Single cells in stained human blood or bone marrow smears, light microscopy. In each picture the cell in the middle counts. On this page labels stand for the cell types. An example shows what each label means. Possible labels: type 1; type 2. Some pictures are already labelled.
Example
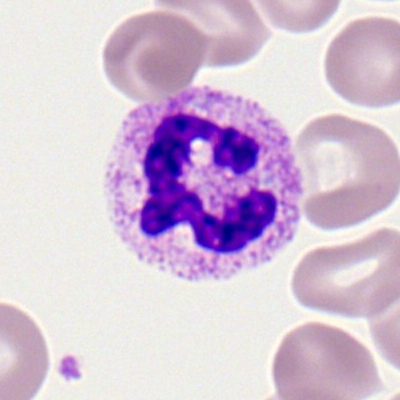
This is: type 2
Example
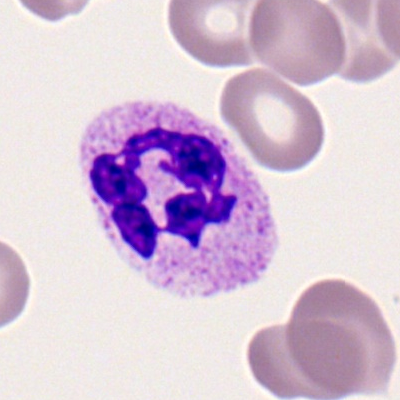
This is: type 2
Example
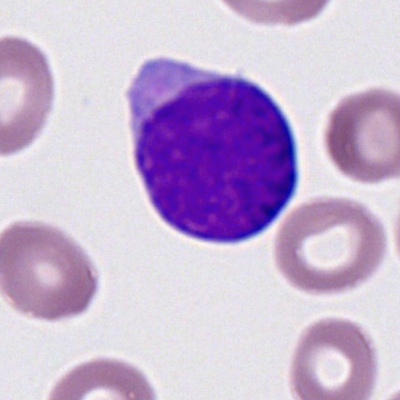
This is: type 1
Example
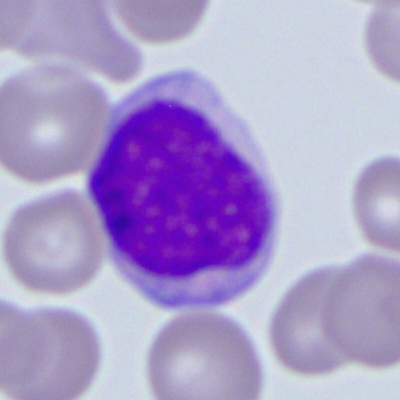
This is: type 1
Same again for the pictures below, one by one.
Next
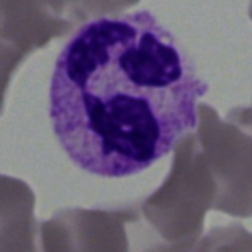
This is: type 2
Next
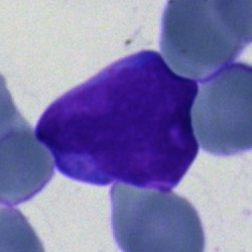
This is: type 1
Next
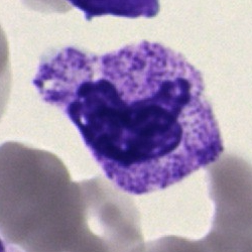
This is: type 2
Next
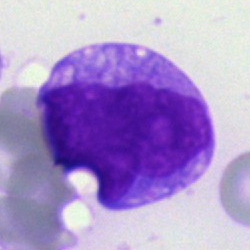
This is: type 1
